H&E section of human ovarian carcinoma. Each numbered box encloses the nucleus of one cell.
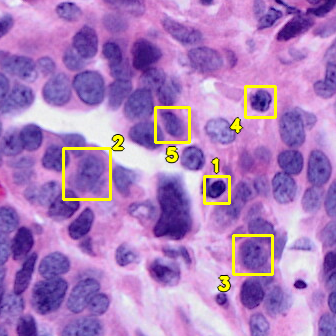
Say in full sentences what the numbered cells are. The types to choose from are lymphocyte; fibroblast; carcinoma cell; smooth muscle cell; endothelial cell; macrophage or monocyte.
Cell 1 is a lymphocyte, cell 2 is a carcinoma cell, cell 3 is a carcinoma cell, cell 4 is a lymphocyte and cell 5 is a carcinoma cell.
